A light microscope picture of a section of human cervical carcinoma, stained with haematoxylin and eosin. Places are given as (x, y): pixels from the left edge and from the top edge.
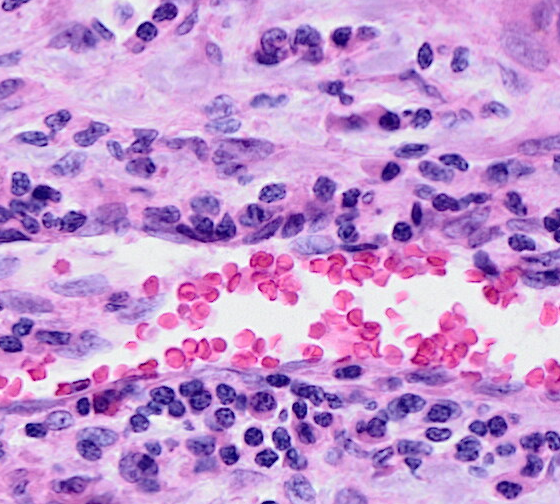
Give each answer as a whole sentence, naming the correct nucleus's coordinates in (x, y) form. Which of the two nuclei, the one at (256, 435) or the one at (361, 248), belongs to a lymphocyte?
The nucleus whose position is (256, 435) belongs to a lymphocyte.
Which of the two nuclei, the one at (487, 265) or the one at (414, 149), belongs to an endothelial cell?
Located at (487, 265), this nucleus is the one belonging to an endothelial cell.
